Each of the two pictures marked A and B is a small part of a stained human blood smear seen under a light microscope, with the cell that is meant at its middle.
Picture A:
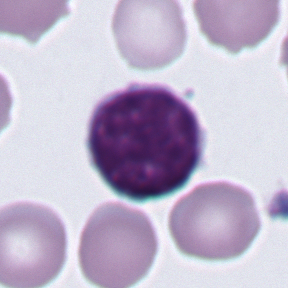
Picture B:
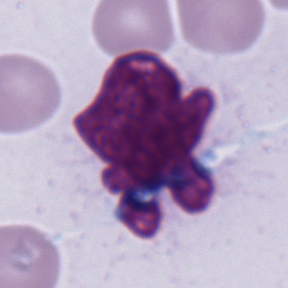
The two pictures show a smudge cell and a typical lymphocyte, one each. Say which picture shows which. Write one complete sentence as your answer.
Picture A shows a typical lymphocyte and picture B shows a smudge cell.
